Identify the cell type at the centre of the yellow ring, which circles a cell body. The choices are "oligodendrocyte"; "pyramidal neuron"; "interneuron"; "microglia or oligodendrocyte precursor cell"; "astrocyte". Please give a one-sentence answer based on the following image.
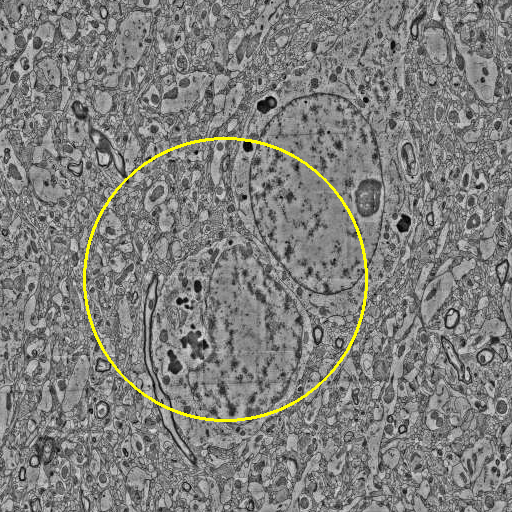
The cell marked by the ring is an interneuron.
